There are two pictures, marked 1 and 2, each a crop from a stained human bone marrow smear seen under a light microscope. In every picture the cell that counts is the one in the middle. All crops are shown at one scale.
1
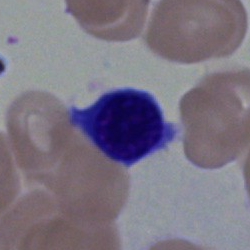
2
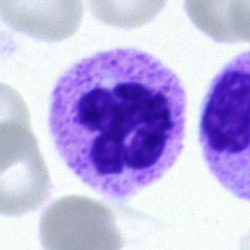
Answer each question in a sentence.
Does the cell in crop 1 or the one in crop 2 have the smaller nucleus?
Crop 1 shows the smaller nucleus, since that in crop 2 covers about 1.5 times as much area.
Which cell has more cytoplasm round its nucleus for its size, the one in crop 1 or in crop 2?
In crop 2 the nucleus takes up the smaller part of its cell.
